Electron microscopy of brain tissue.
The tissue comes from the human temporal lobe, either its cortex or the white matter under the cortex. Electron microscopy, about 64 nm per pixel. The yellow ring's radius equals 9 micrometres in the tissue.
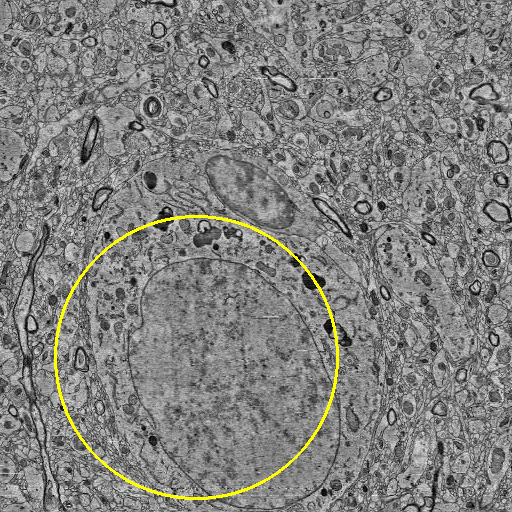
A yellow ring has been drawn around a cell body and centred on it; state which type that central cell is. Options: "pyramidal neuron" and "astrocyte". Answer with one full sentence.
The cell at the middle of the yellow ring is a pyramidal neuron in this picture.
